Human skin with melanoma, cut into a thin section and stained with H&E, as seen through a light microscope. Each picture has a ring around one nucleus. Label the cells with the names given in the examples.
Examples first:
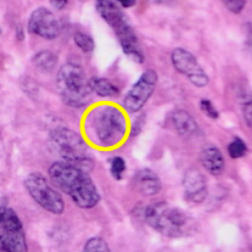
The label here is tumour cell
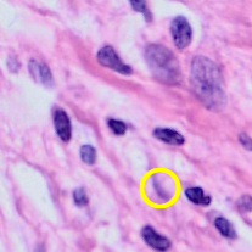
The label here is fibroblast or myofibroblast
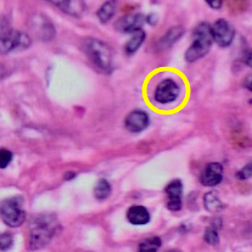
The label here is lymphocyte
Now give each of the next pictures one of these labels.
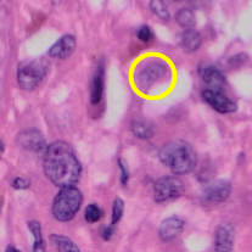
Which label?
tumour cell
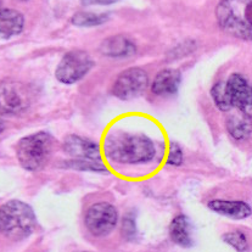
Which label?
tumour cell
